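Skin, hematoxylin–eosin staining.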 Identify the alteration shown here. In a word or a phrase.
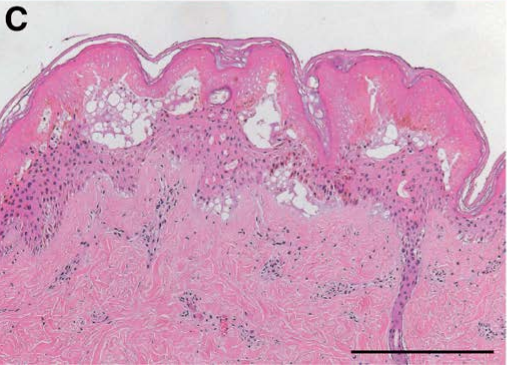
Vacuolar degeneration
